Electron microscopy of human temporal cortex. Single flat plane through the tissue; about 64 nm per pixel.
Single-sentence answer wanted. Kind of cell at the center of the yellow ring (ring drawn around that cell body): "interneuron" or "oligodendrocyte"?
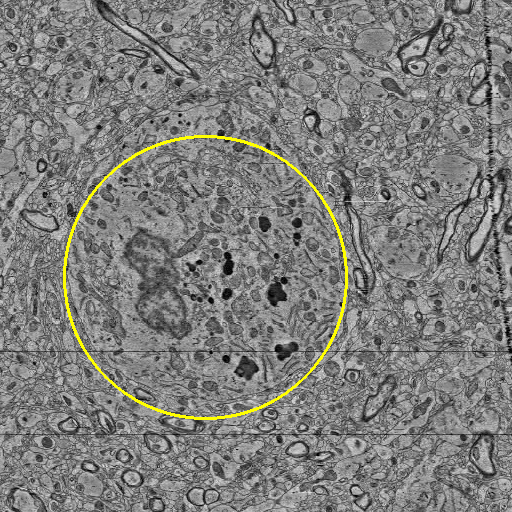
The cell centered in the ring is an interneuron.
